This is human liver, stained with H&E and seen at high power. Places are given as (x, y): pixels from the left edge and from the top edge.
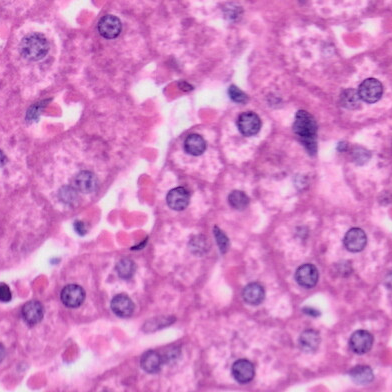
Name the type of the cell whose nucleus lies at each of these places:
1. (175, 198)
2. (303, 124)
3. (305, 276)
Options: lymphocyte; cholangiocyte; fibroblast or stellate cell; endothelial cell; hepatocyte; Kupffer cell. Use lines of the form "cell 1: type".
cell 1: hepatocyte
cell 2: endothelial cell
cell 3: hepatocyte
